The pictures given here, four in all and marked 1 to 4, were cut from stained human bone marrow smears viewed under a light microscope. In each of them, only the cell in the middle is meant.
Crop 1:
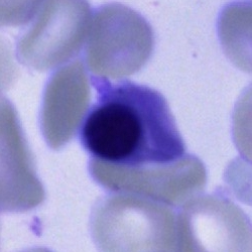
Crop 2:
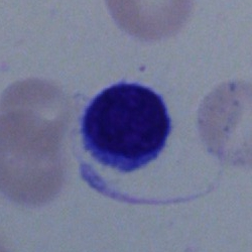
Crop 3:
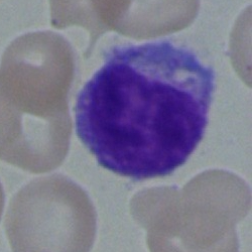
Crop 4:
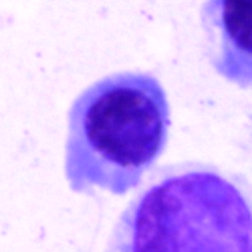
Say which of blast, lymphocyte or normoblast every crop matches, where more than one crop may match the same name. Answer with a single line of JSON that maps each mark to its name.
{"1": "normoblast", "2": "lymphocyte", "3": "blast", "4": "normoblast"}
